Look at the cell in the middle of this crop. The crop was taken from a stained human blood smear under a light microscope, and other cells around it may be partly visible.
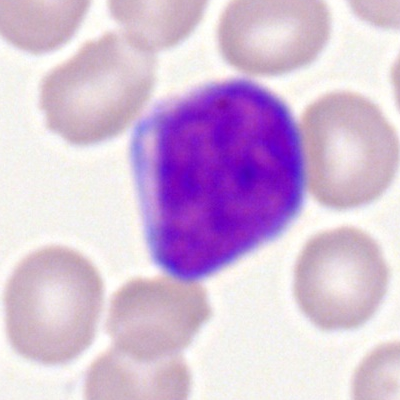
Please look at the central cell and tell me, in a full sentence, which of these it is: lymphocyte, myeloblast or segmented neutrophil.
The cell of interest, located centrally, is a myeloblast.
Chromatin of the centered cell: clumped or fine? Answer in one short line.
The nucleus shows chromatin that is coarsely clumped.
